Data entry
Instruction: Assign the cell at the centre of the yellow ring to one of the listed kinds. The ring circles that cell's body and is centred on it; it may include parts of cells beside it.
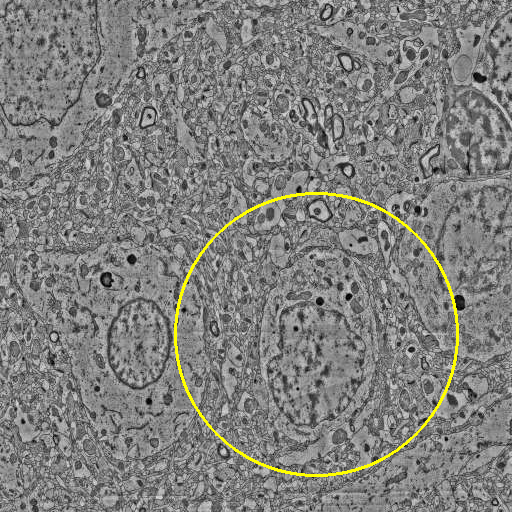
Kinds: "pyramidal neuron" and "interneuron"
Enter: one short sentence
The centre of the ring falls on an interneuron.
